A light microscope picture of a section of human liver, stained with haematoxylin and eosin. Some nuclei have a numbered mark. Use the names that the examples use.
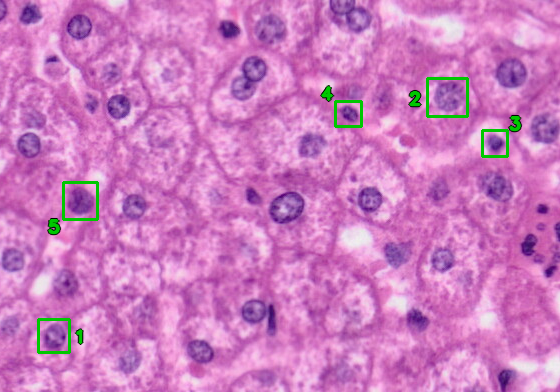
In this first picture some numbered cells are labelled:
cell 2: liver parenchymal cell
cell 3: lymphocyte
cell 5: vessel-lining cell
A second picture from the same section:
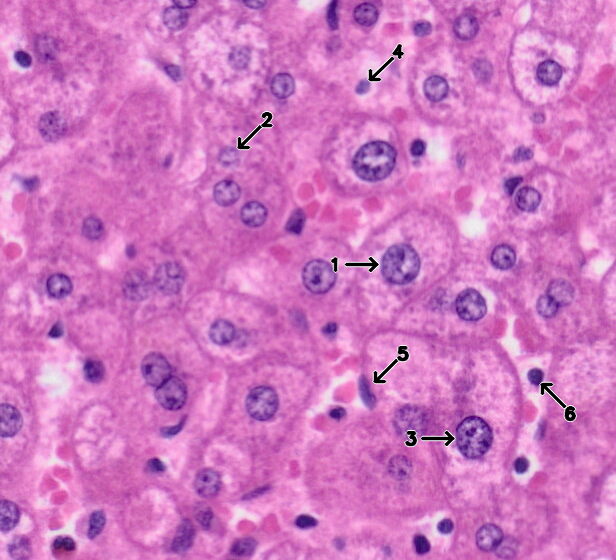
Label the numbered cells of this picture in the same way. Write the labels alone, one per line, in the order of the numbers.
liver parenchymal cell
liver parenchymal cell
liver parenchymal cell
lymphocyte
vessel-lining cell
lymphocyte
